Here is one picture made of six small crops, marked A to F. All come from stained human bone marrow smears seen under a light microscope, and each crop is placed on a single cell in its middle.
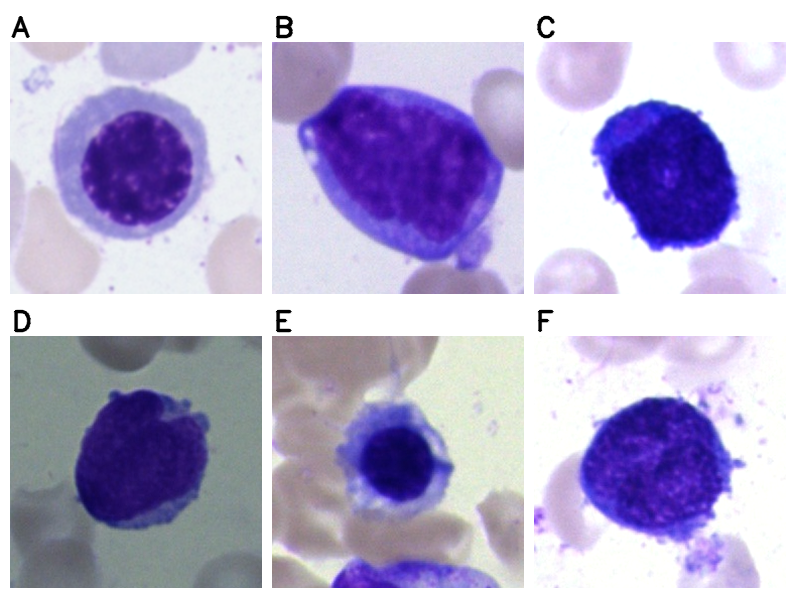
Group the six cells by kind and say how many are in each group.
blast: 4
erythroblast: 2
